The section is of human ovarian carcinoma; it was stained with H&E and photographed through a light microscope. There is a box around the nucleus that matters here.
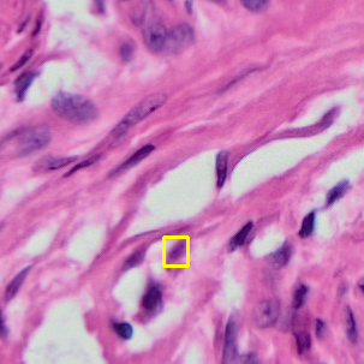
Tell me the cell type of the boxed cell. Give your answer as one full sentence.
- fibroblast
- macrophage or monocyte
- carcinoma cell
The category to which the boxed cell belongs is that of a fibroblast.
